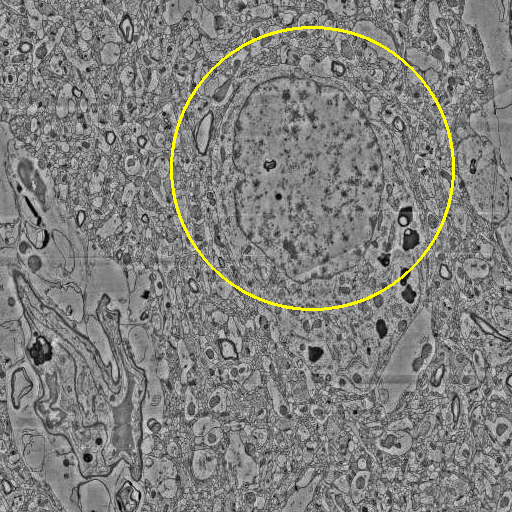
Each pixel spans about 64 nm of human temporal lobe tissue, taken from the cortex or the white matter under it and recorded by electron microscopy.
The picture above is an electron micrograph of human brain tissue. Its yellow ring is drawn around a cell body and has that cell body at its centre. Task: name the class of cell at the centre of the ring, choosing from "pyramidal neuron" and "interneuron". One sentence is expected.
The ring surrounds the body of an interneuron.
